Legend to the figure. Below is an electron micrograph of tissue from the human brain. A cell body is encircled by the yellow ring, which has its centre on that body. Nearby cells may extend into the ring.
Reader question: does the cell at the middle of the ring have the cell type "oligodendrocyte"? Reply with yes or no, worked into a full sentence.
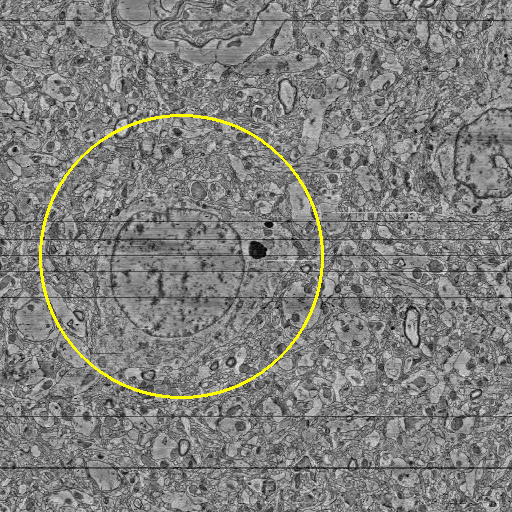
No, the cell sitting at the middle of the ring in the picture has another cell type.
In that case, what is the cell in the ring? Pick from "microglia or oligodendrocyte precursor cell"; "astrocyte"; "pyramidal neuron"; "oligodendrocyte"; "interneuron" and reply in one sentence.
What the ring encloses here is a pyramidal neuron.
